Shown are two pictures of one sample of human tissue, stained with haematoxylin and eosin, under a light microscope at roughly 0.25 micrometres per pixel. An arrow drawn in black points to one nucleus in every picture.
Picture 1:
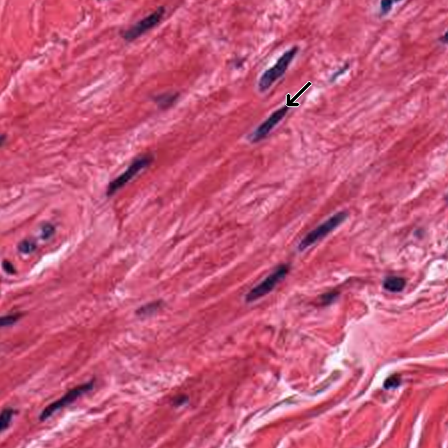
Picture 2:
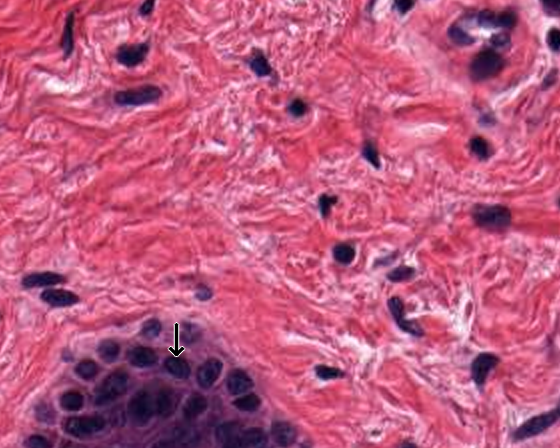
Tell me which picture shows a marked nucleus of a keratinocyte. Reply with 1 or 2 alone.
2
